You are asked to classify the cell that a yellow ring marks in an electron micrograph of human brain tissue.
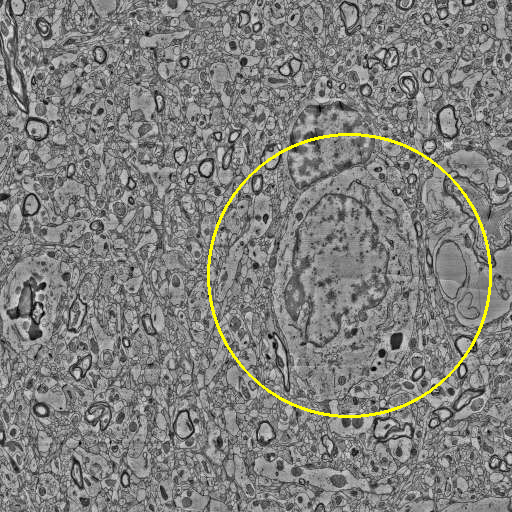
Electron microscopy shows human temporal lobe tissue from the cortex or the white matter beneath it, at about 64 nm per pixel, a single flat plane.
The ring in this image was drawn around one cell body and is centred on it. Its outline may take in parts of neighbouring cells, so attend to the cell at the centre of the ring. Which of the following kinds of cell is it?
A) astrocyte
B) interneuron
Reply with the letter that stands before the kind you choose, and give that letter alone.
B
